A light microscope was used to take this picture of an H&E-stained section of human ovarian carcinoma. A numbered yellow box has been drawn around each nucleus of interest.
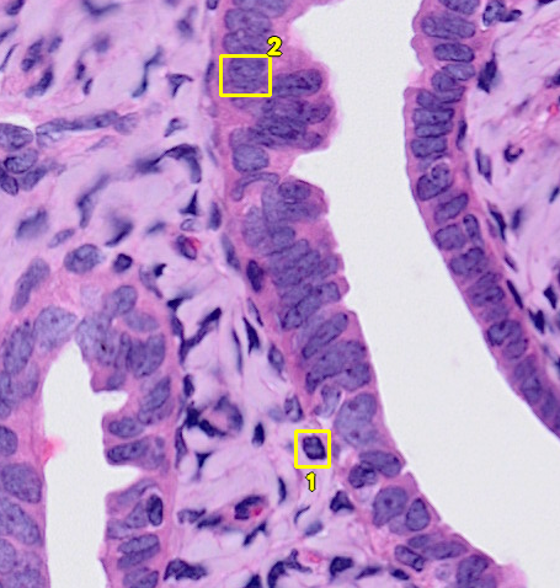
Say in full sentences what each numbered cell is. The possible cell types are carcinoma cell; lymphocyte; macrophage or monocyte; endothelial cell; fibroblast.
Cell 1 is a lymphocyte and cell 2 is a carcinoma cell.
